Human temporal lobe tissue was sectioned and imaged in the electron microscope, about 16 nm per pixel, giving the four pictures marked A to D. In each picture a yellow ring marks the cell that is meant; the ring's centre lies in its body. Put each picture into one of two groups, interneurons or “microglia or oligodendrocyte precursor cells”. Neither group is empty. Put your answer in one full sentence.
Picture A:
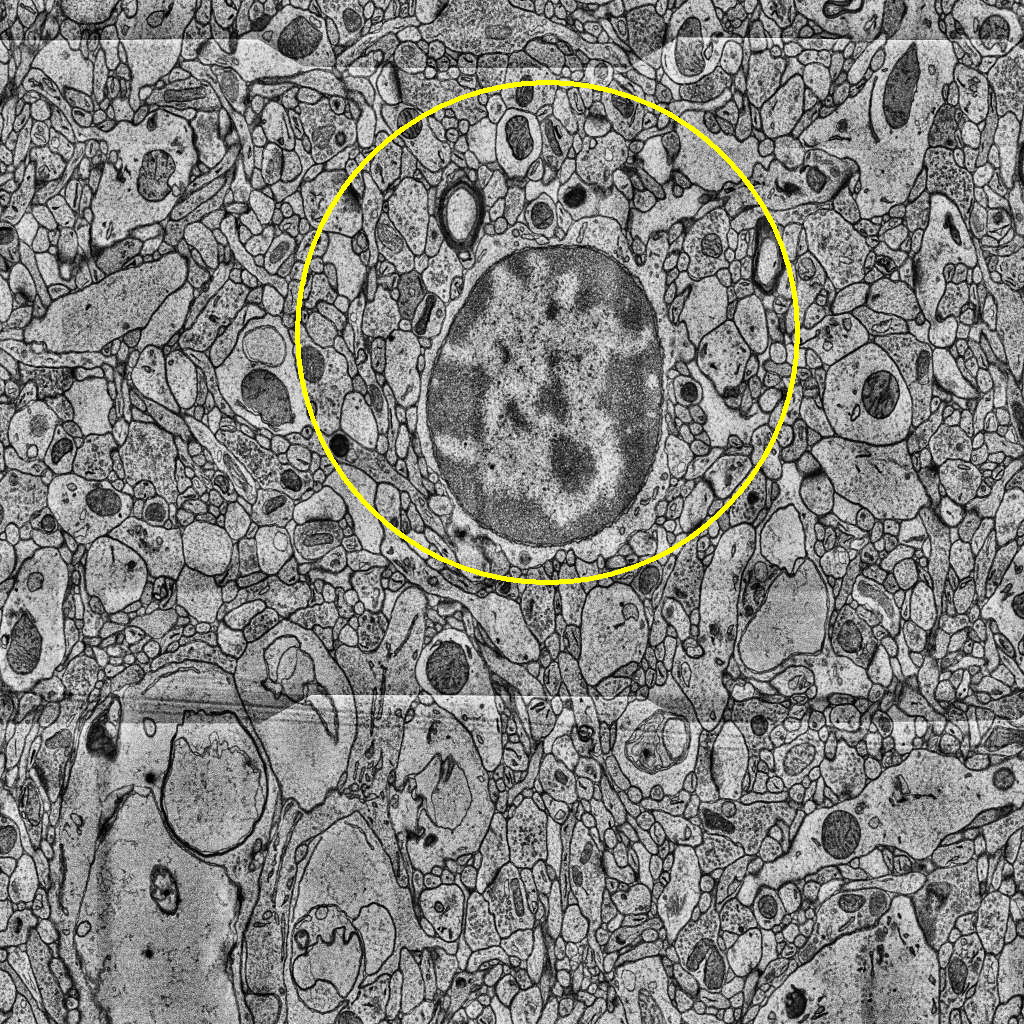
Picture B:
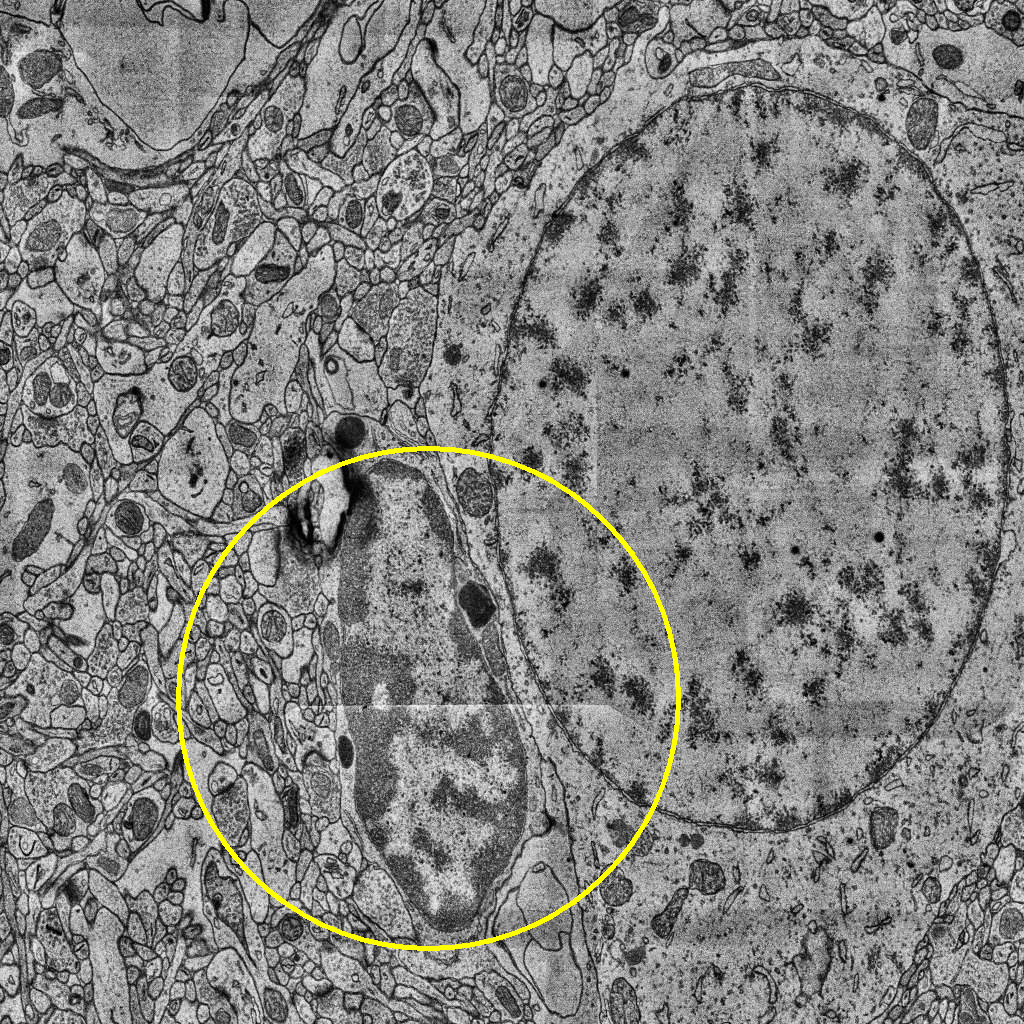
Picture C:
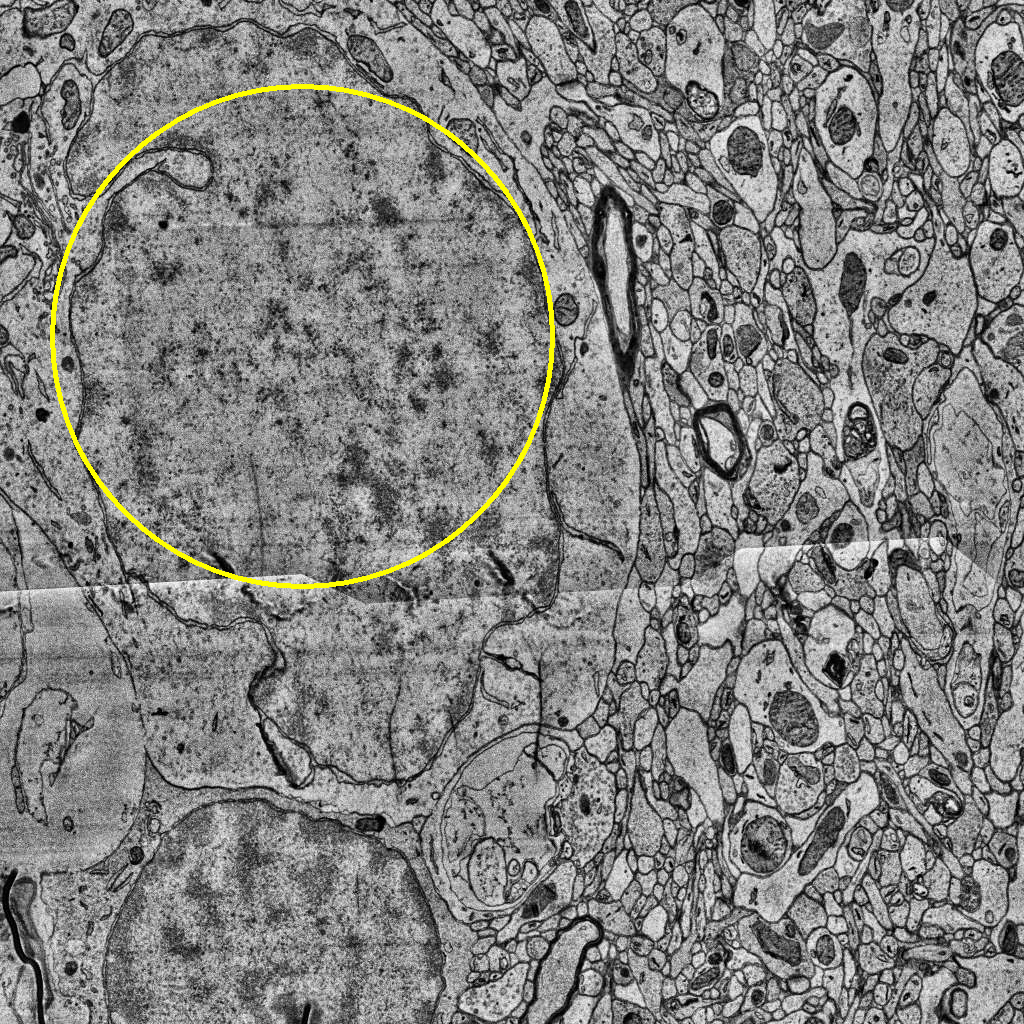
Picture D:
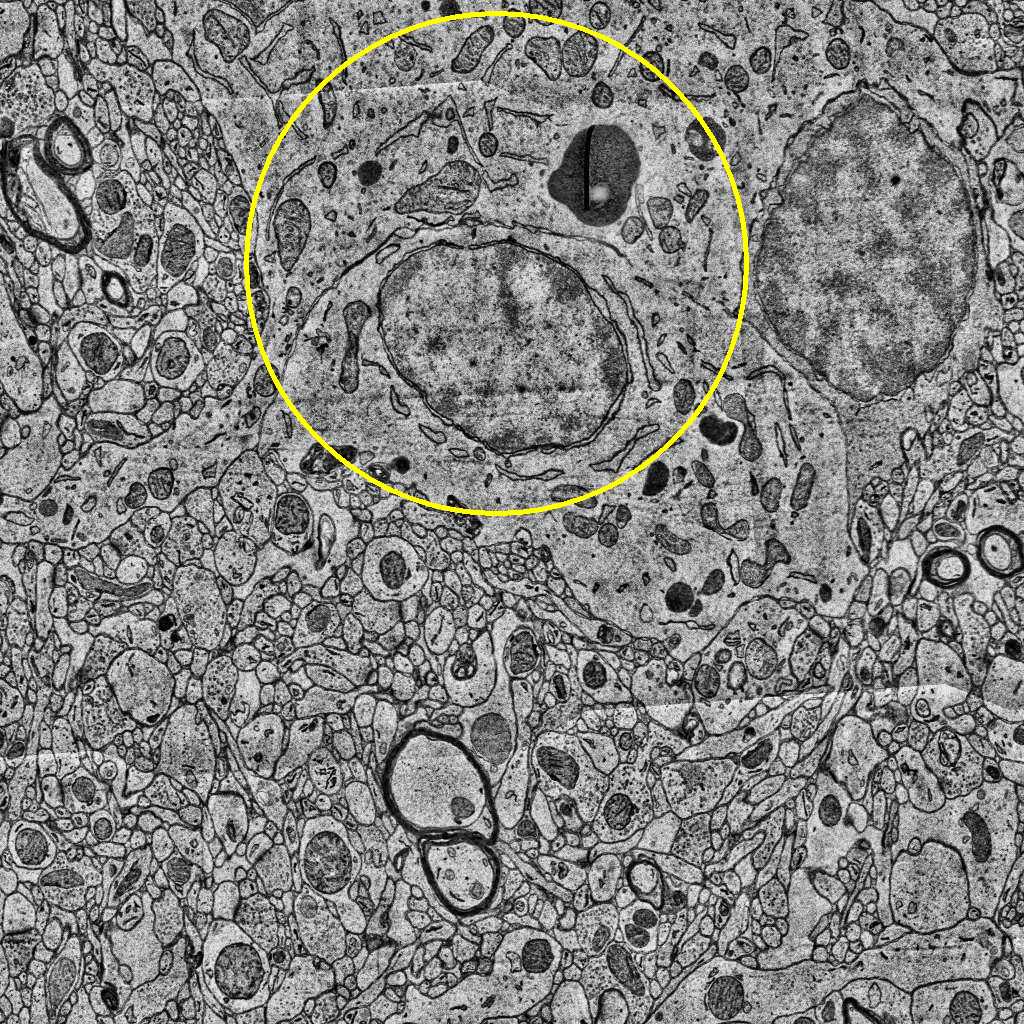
Picture C shows an interneuron, and pictures A, B and D show “microglia or oligodendrocyte precursor cells”.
